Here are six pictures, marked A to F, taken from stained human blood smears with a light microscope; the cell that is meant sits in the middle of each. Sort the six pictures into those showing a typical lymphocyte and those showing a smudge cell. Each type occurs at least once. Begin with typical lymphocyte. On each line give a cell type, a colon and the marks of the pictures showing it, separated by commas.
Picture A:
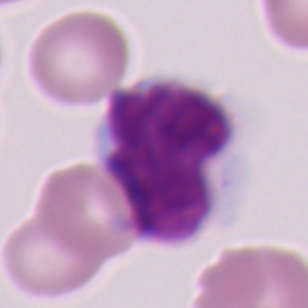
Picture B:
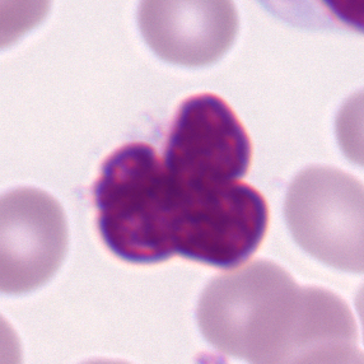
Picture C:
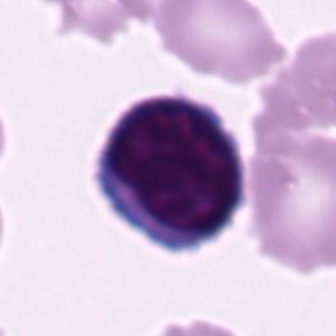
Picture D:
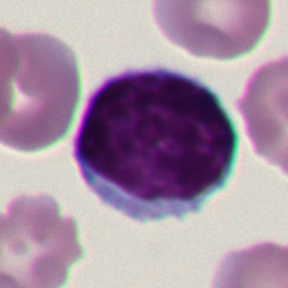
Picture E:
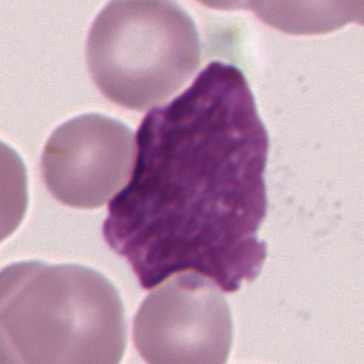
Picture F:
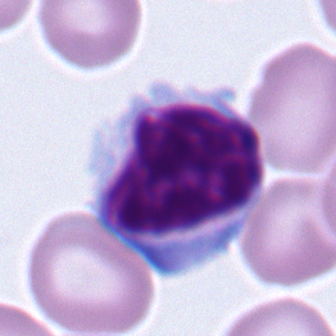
typical lymphocyte: A, C, D, F
smudge cell: B, E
